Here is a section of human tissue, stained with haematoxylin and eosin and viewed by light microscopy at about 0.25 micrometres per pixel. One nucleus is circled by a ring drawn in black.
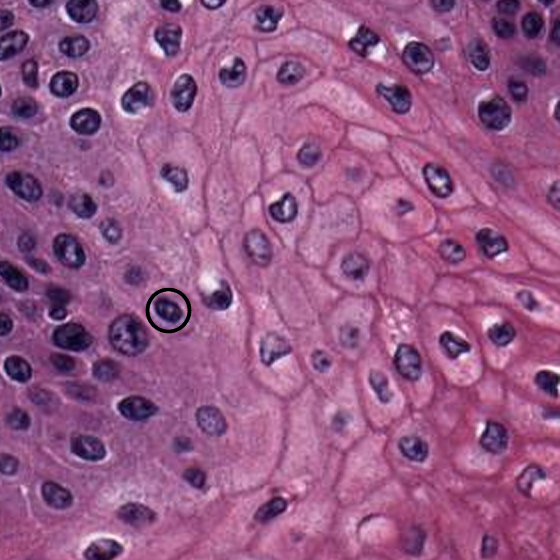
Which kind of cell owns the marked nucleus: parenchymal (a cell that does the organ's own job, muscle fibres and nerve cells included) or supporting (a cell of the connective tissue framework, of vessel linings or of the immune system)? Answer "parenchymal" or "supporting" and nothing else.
parenchymal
